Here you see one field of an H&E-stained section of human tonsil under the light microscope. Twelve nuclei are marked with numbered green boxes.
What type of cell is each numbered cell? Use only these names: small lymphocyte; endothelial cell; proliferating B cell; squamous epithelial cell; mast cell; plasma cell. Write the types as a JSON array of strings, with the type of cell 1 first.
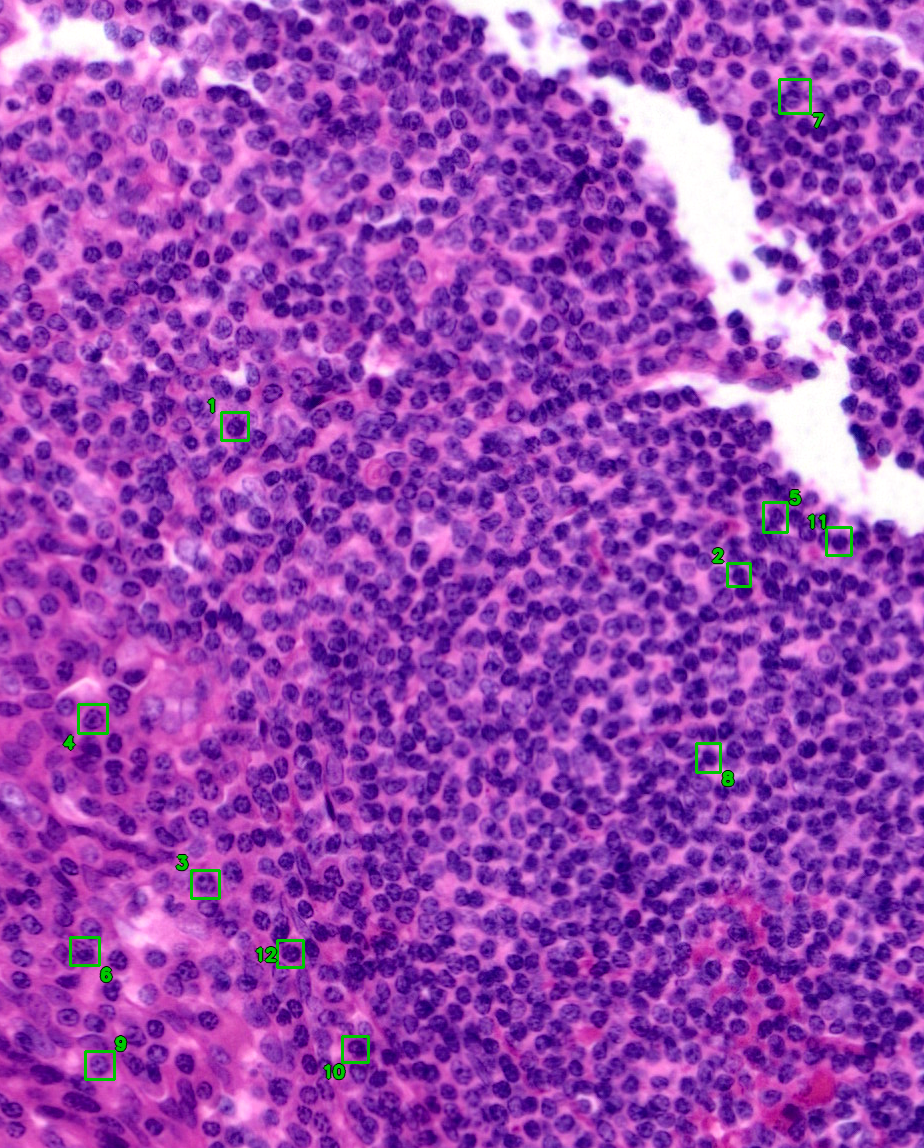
["plasma cell", "small lymphocyte", "plasma cell", "plasma cell", "small lymphocyte", "plasma cell", "small lymphocyte", "small lymphocyte", "plasma cell", "plasma cell", "small lymphocyte", "plasma cell"]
